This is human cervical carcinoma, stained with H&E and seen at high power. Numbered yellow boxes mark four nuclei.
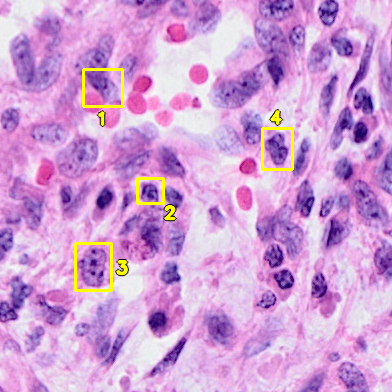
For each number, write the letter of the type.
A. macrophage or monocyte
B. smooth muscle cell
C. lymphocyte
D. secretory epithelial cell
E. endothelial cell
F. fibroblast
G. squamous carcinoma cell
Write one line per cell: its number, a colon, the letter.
1: E
2: C
3: A
4: C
